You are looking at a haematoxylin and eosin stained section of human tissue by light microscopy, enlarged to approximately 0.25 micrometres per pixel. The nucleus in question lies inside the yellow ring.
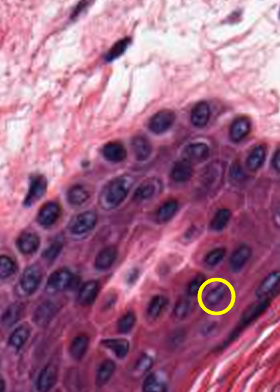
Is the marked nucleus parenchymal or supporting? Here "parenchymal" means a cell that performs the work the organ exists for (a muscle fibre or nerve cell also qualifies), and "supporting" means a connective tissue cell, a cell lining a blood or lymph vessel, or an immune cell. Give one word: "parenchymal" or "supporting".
parenchymal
